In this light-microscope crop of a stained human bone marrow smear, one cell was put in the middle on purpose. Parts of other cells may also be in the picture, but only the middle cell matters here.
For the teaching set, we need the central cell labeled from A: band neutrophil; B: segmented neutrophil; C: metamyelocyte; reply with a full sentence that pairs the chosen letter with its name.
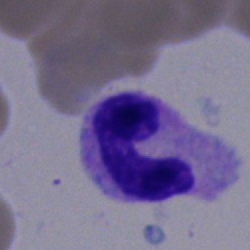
According to option A, which is correct, the cell in the middle is a band neutrophil.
